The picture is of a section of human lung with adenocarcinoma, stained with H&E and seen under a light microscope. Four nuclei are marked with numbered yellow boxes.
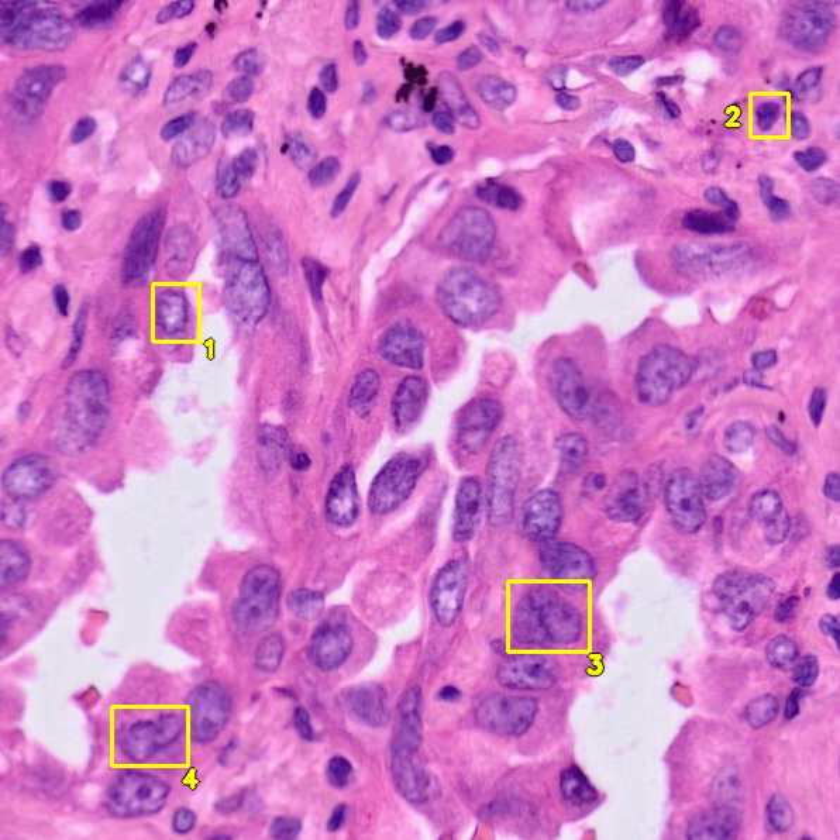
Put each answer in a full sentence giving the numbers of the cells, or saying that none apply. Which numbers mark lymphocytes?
Among the numbered cells, cell 2 alone is a lymphocyte.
